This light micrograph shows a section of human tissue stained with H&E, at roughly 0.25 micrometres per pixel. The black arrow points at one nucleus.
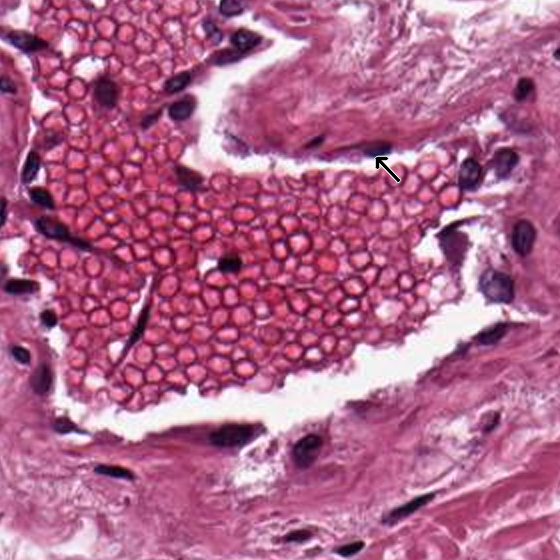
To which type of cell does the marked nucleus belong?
endothelial cell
